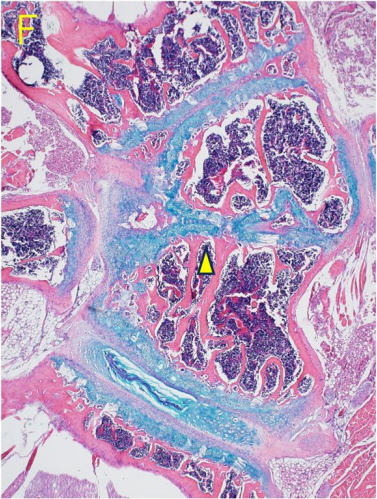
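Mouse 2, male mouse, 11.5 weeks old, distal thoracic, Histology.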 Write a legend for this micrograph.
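This low-power section through the spine shows several vertebral bodies whose cavities are filled with dark purple, densely cellular bone marrow, divided by thin pink branching trabecular bone. Between and around the vertebral bodies run broad, pale blue-stained bands of cartilage that wind irregularly and vary in thickness instead of forming straight, even plates. In places these blue bands appear to join one another across the segment rather than staying separate. Pale pink fibrous tissue and bundles of skeletal muscle border the segment at the sides.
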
